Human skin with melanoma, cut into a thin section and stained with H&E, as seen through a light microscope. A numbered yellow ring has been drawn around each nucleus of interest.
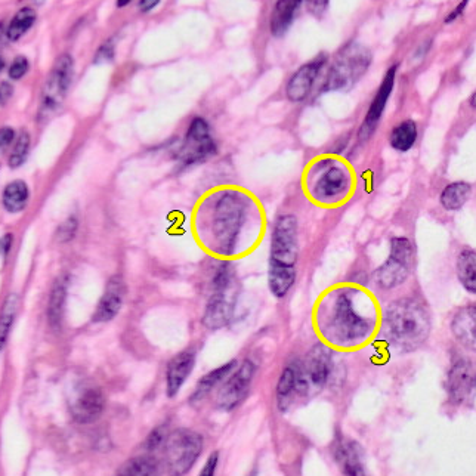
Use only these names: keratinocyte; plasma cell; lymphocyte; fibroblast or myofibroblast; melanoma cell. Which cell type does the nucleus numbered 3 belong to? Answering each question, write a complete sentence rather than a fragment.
The cell whose nucleus carries the number 3 is a melanoma cell.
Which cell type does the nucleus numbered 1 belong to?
Recognised here as a lymphocyte is the cell numbered 1.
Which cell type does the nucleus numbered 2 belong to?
Looking at the numbered marks, cell 2 is a melanoma cell.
